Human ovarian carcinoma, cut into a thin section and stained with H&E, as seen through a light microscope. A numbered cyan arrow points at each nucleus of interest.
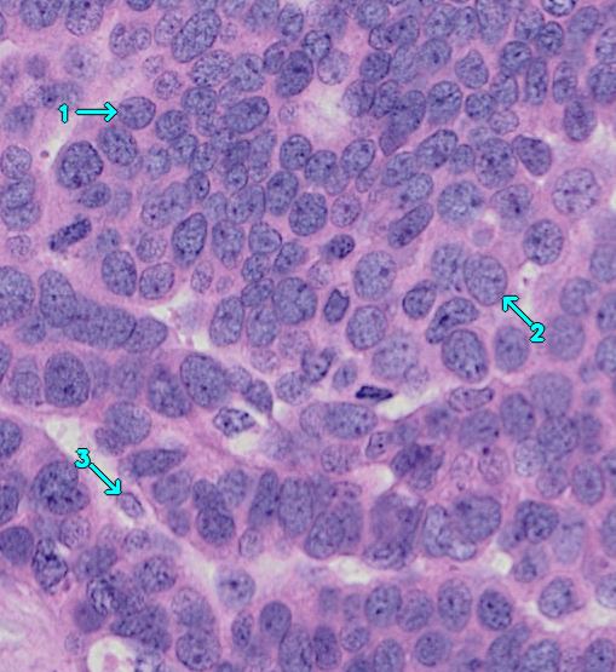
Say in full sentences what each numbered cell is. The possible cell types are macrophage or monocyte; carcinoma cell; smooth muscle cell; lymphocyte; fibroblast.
Cells 1 and 2 are carcinoma cells. Cell 3 is a macrophage or monocyte.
